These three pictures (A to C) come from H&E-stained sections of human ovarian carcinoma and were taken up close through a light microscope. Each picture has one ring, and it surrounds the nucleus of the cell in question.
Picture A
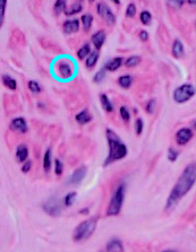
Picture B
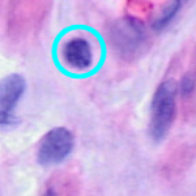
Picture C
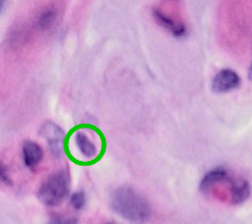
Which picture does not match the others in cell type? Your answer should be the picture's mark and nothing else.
A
